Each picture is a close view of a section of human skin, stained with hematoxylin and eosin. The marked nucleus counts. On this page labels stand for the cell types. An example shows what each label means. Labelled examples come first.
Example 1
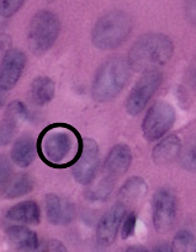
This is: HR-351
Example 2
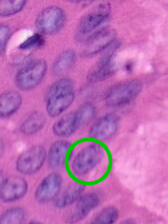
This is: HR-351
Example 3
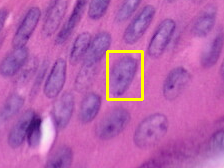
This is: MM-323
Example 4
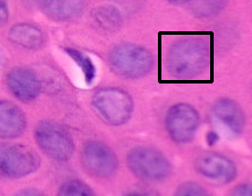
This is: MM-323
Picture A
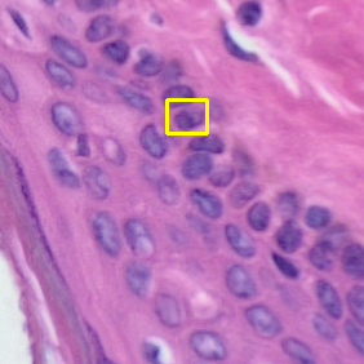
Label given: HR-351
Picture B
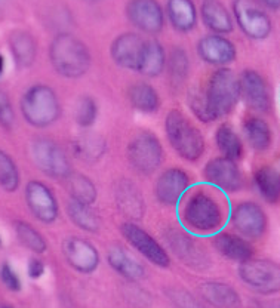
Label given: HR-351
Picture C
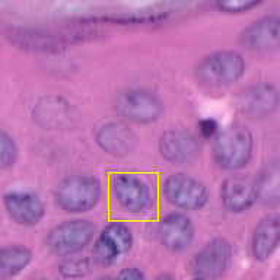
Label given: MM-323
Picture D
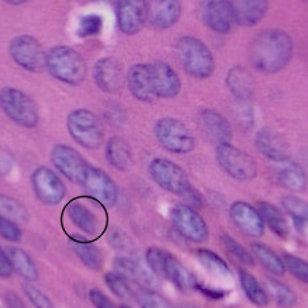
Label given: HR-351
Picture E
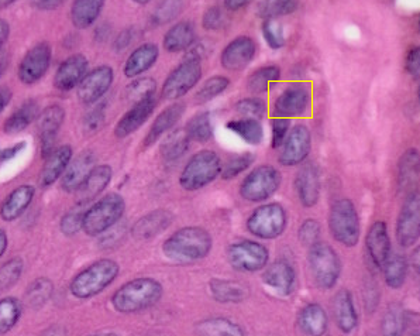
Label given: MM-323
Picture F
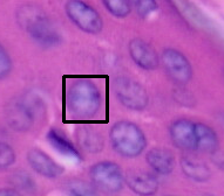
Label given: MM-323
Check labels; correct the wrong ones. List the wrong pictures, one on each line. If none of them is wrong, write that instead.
E: not MM-323 but HR-351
